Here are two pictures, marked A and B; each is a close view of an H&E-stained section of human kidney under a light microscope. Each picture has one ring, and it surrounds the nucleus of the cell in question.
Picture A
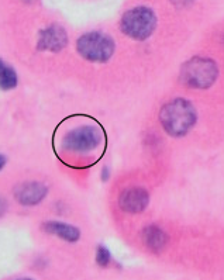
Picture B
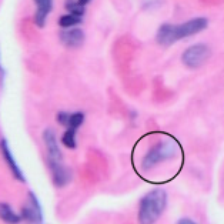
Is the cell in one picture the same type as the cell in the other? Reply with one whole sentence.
Yes, they are the same type: both are endothelial cells.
